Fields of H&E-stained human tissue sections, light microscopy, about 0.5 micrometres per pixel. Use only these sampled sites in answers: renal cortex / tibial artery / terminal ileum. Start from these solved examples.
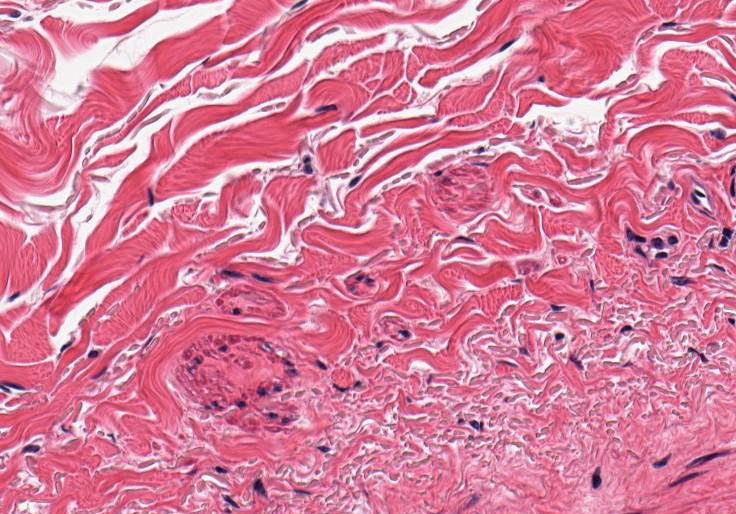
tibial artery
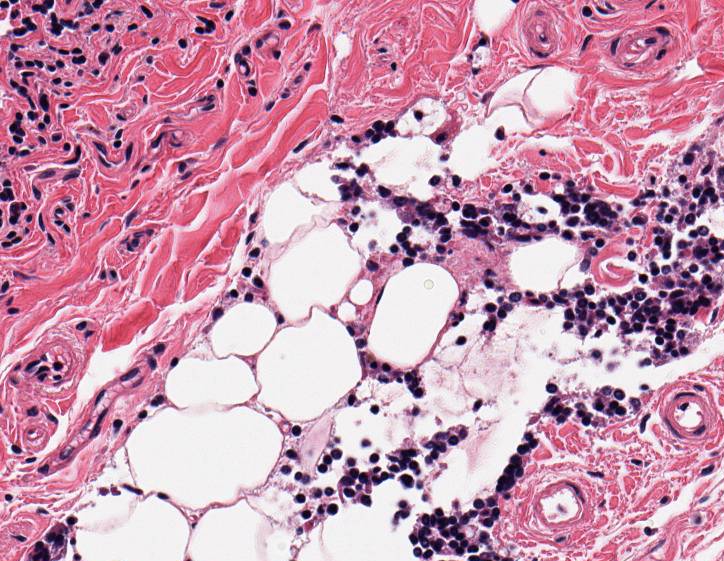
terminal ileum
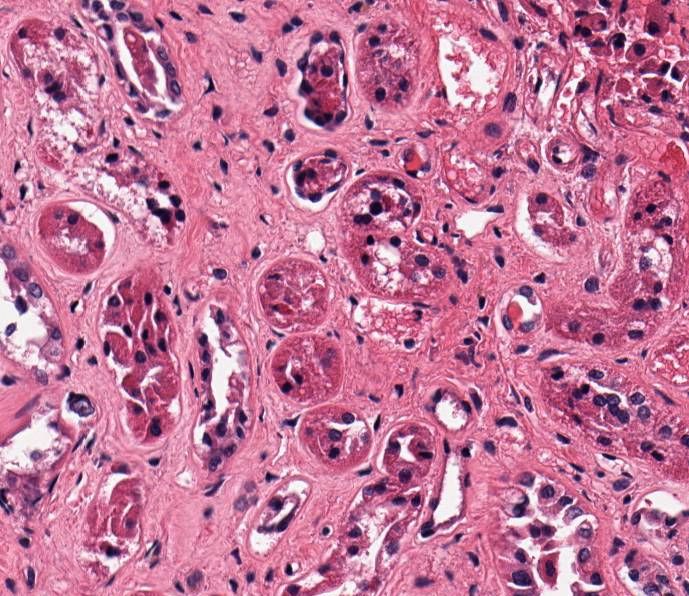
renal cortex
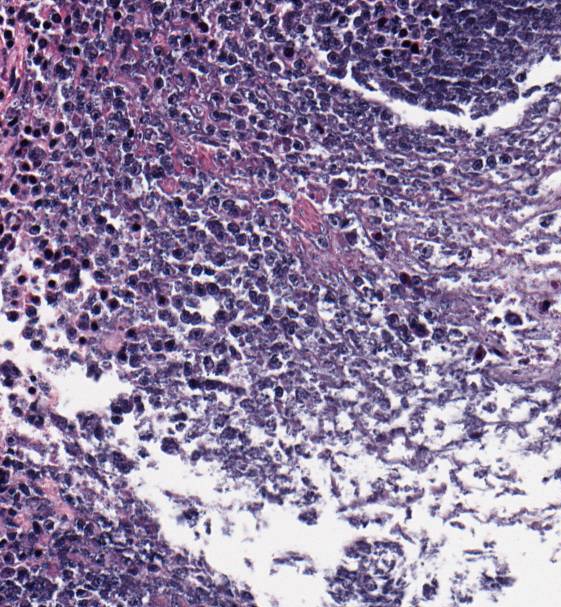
terminal ileum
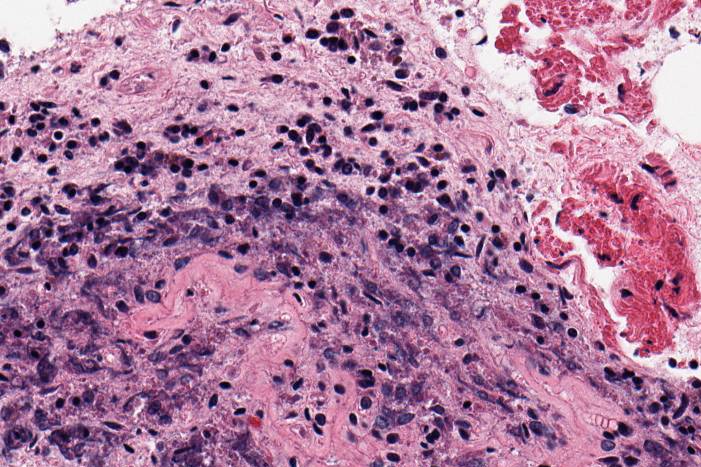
terminal ileum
